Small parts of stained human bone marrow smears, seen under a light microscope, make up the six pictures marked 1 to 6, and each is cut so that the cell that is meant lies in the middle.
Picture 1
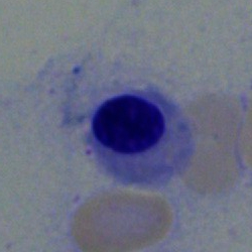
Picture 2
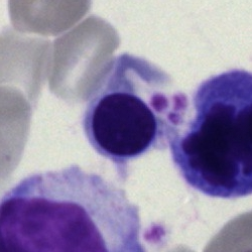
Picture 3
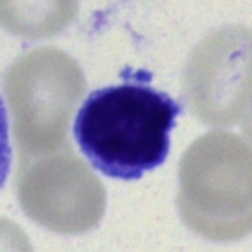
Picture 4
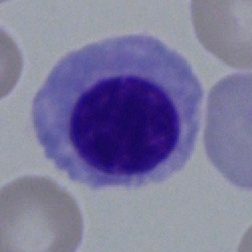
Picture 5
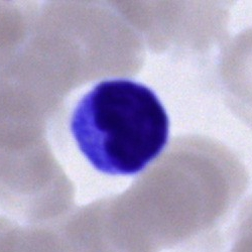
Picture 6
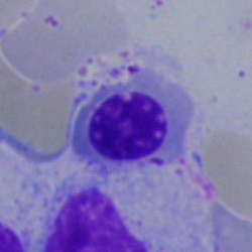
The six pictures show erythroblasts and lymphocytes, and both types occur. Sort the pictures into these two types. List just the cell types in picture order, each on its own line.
erythroblast
erythroblast
lymphocyte
erythroblast
lymphocyte
erythroblast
